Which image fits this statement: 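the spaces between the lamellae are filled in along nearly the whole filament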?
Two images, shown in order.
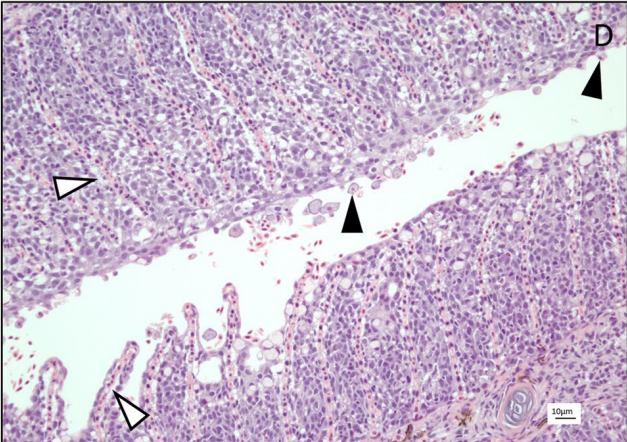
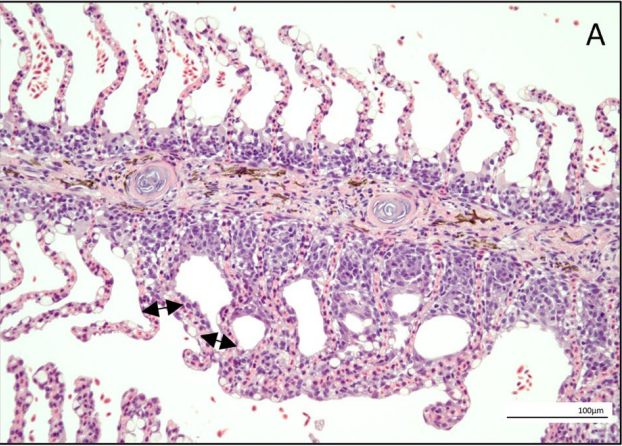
the first image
